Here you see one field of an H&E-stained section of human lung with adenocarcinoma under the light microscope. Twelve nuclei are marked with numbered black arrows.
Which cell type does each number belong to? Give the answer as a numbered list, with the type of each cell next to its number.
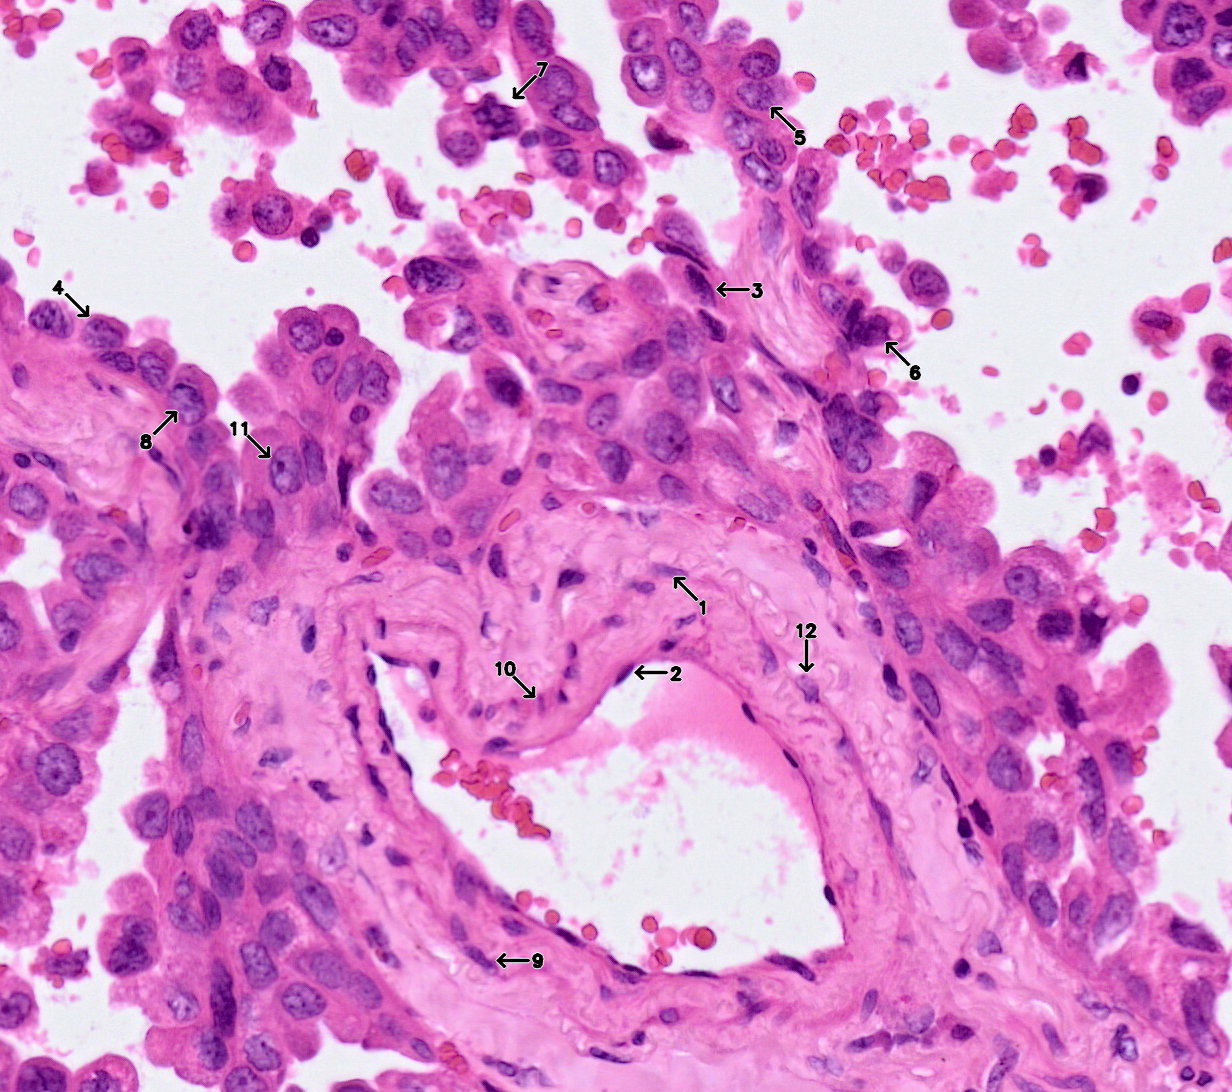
1. smooth muscle cell or pericyte
2. endothelial cell
3. carcinoma cell
4. carcinoma cell
5. carcinoma cell
6. carcinoma cell
7. carcinoma cell
8. carcinoma cell
9. smooth muscle cell or pericyte
10. smooth muscle cell or pericyte
11. carcinoma cell
12. smooth muscle cell or pericyte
